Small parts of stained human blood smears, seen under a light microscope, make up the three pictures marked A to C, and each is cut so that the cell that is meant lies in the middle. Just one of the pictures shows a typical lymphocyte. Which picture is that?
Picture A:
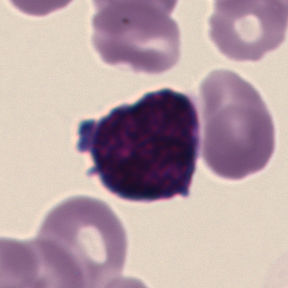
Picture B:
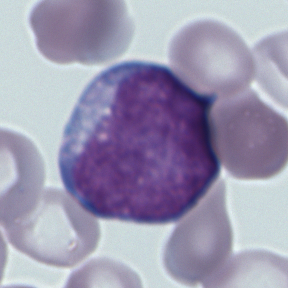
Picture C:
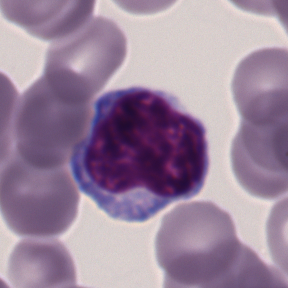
C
